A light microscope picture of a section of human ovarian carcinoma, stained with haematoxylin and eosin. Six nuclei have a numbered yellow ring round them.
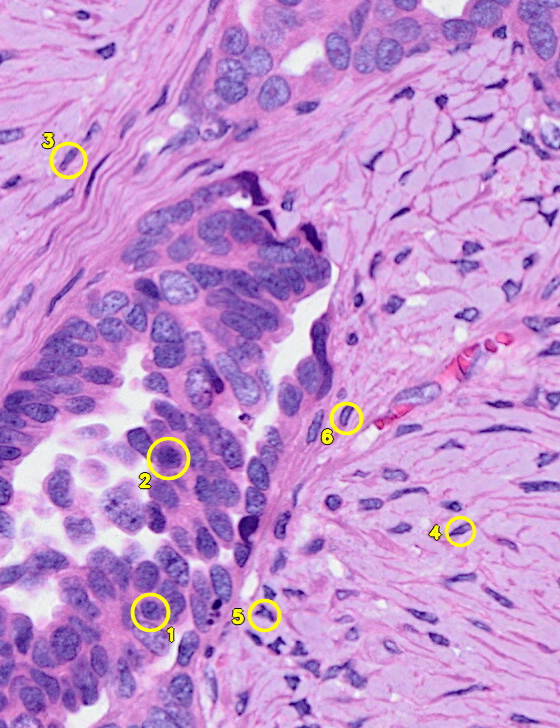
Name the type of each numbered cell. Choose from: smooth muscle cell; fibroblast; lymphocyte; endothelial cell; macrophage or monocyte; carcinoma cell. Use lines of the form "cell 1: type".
cell 1: carcinoma cell
cell 2: carcinoma cell
cell 3: fibroblast
cell 4: fibroblast
cell 5: fibroblast
cell 6: fibroblast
